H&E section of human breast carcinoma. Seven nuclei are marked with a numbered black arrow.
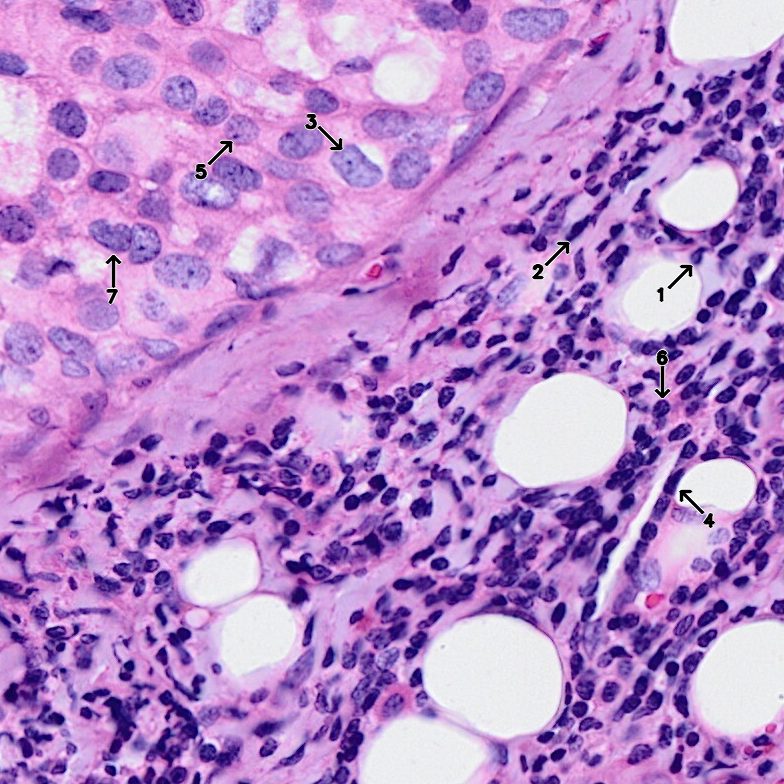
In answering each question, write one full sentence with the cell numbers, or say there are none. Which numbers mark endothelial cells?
From first to last, the numbered cells include no endothelial cells.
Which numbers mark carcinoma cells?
In short, the numbered cells 3, 5 and 7 are carcinoma cells.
